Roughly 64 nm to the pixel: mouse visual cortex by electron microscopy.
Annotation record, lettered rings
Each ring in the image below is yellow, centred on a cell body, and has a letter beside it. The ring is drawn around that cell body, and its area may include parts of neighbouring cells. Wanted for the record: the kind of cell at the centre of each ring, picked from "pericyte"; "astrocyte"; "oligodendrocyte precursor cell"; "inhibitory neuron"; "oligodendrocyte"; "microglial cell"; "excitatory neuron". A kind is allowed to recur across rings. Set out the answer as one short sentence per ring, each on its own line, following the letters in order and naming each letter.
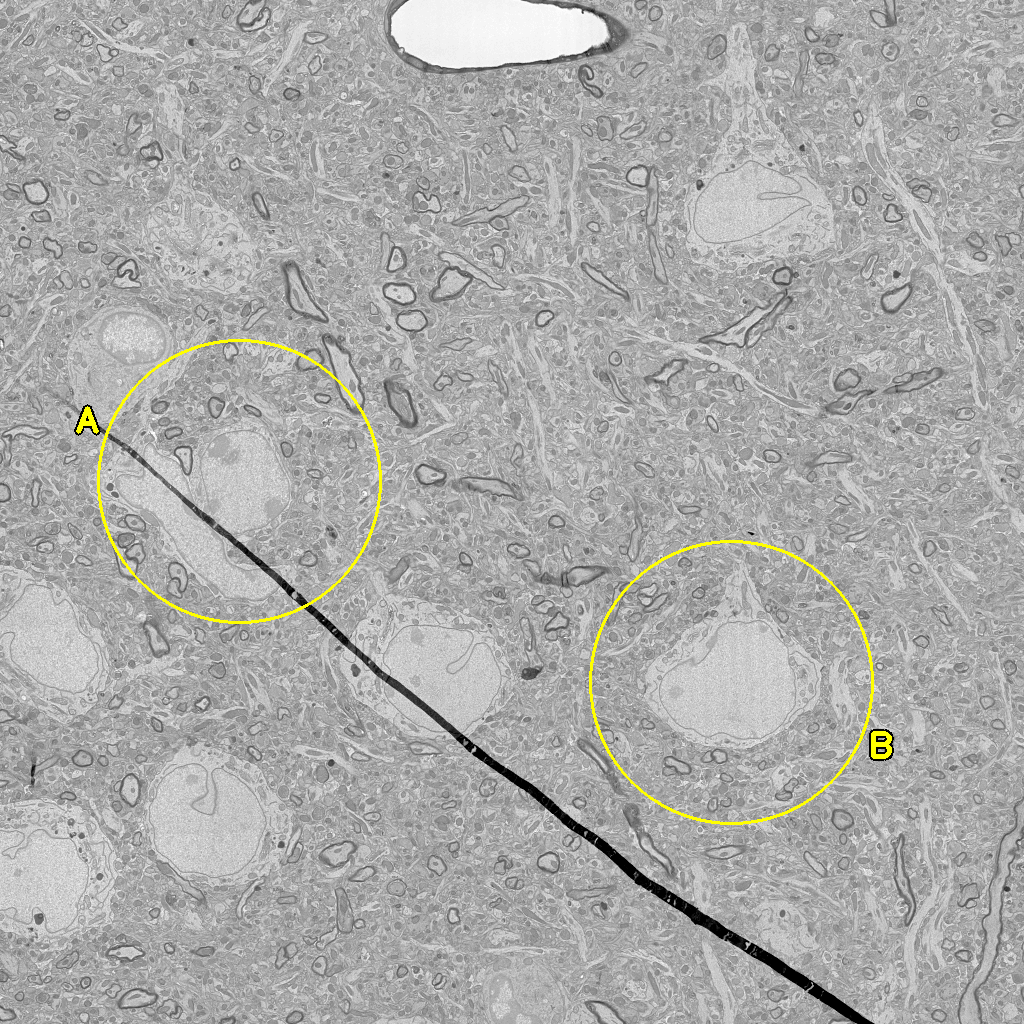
Ring A was drawn on an astrocyte.
Ring B was drawn on an excitatory neuron.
